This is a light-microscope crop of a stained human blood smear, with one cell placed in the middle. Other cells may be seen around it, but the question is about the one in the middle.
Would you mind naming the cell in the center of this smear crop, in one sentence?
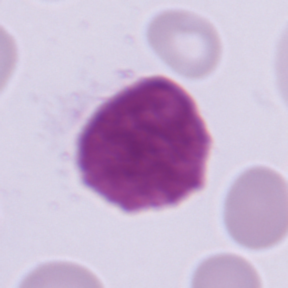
This crop has a smudge cell at its centre.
